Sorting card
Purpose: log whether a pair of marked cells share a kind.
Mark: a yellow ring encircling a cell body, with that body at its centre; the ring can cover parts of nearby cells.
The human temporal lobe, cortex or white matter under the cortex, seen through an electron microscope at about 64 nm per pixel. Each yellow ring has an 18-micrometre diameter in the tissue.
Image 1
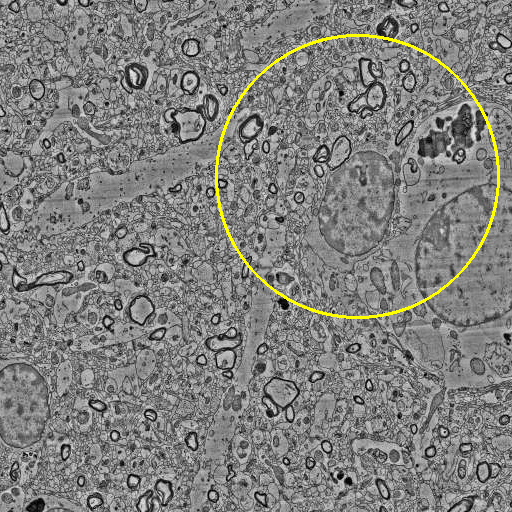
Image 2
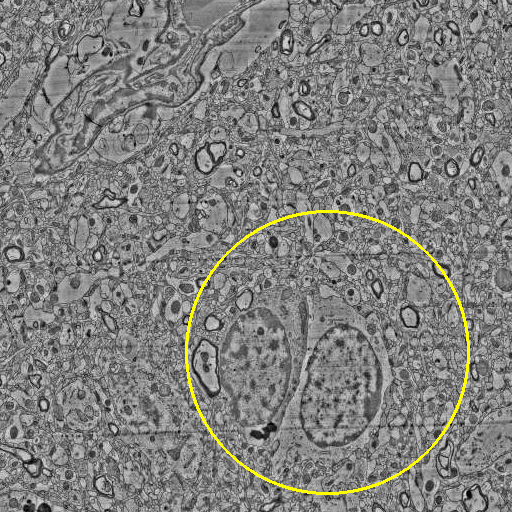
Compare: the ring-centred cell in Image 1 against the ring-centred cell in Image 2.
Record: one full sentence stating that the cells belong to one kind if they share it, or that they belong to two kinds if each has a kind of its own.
Across Images 1 and 2, the two ring-centred cells belong to two kinds.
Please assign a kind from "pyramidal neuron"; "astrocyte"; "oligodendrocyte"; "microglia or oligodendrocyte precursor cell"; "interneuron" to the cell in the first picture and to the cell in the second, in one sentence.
In the first picture we have an oligodendrocyte, and in the second, a microglial cell or oligodendrocyte precursor cell.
